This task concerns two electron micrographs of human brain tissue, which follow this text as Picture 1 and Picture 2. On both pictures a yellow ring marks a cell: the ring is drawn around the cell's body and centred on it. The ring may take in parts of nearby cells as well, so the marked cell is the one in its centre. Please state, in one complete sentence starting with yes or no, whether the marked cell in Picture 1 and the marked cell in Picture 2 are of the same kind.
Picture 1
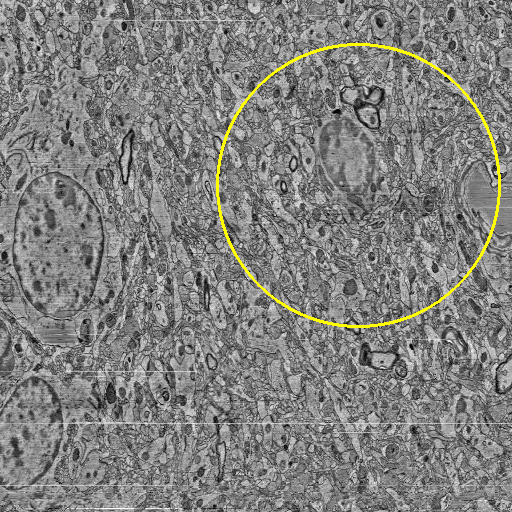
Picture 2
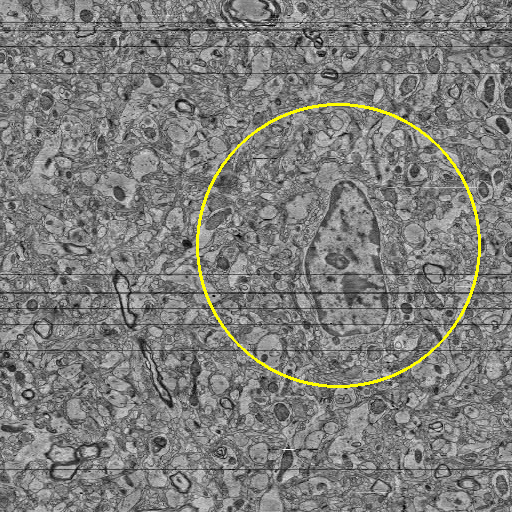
No, the marked cells in the two pictures are of two kinds.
